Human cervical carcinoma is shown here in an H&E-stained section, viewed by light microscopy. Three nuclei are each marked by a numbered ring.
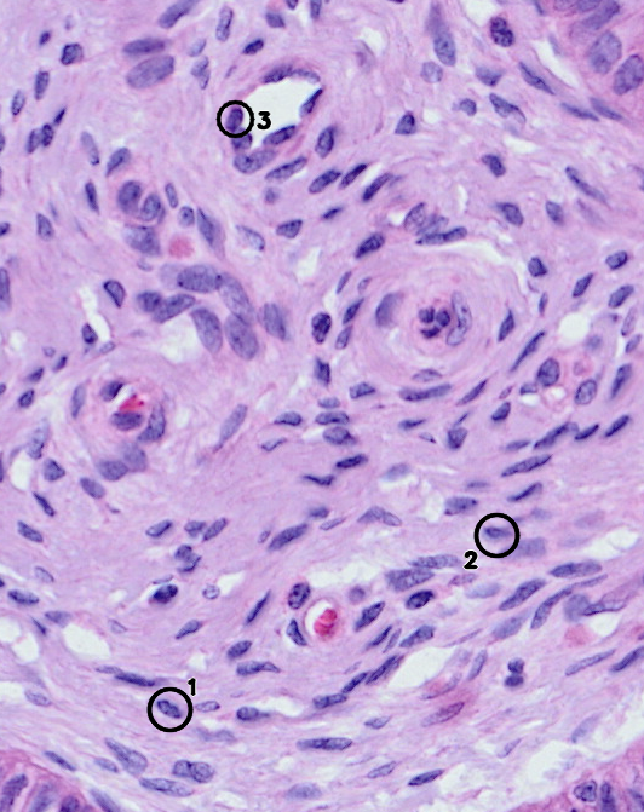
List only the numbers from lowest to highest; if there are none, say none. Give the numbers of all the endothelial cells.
3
